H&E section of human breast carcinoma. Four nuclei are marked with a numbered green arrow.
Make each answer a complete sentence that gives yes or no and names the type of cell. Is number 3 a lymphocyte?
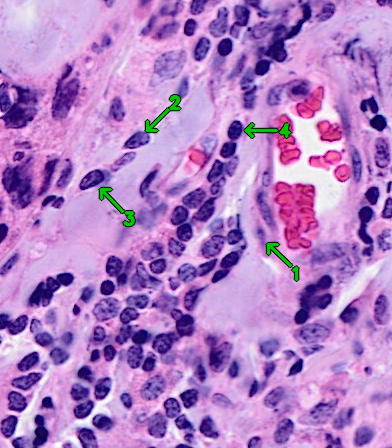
Yes, cell number 3 is identified here as a lymphocyte.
